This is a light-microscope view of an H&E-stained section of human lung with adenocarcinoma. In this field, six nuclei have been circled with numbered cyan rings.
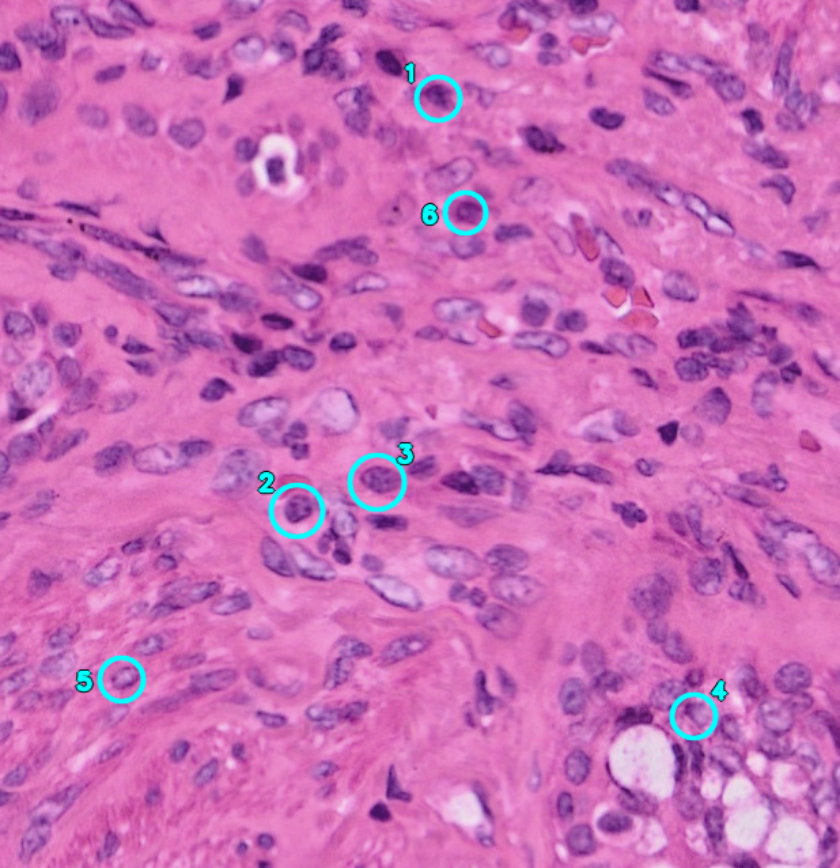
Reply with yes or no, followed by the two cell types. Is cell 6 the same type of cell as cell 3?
No, cell 6 should be called a plasma cell, and cell 3 should be called a mast cell.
